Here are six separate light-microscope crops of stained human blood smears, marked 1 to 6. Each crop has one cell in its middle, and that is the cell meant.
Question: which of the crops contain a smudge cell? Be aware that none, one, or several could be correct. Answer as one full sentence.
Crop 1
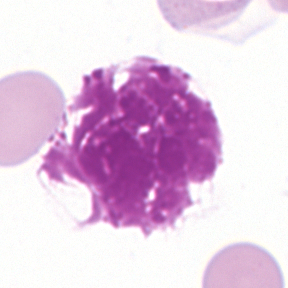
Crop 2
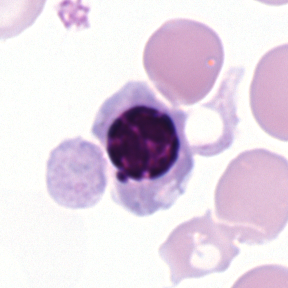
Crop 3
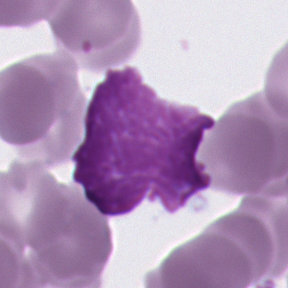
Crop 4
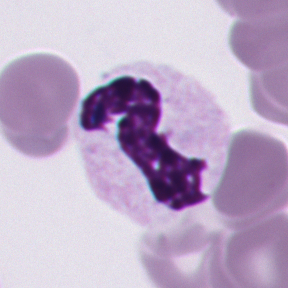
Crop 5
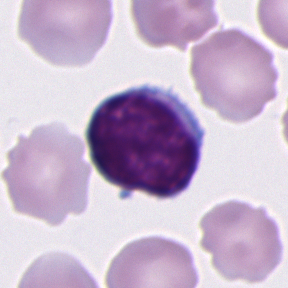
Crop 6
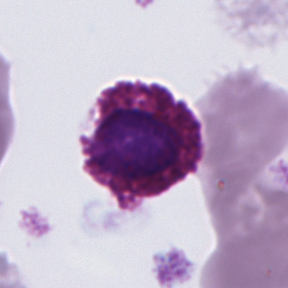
With regard to crops 1 and 3, the central cells are smudge cells.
